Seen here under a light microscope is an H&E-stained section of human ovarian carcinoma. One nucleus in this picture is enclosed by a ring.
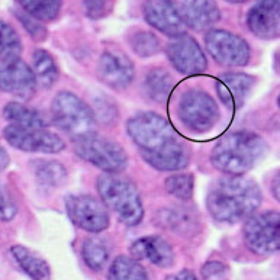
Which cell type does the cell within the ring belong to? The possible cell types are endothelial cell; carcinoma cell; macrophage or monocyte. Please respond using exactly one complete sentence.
The correct response here is that the cell within the ring is a carcinoma cell.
